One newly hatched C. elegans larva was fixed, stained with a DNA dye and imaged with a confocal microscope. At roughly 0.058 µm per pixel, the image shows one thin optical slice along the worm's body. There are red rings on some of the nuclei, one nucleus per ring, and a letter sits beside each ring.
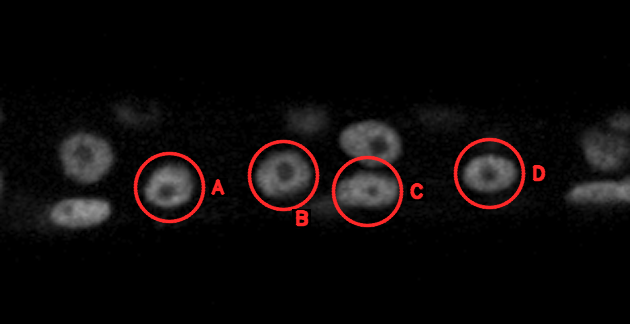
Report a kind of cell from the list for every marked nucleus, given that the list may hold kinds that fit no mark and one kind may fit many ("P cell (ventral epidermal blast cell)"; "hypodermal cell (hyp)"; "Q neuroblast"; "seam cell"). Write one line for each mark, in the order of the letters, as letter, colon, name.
A: Q neuroblast
B: seam cell
C: P cell (ventral epidermal blast cell)
D: seam cell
